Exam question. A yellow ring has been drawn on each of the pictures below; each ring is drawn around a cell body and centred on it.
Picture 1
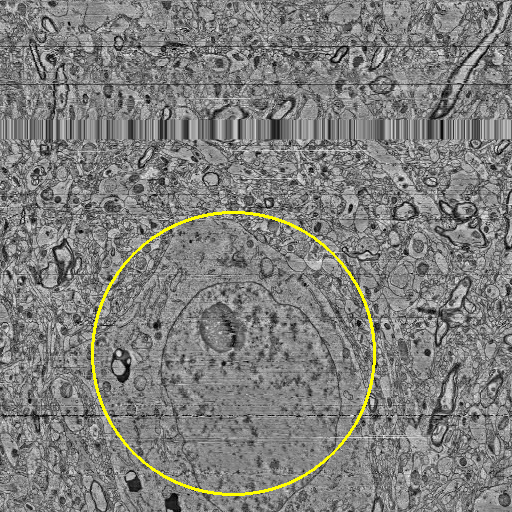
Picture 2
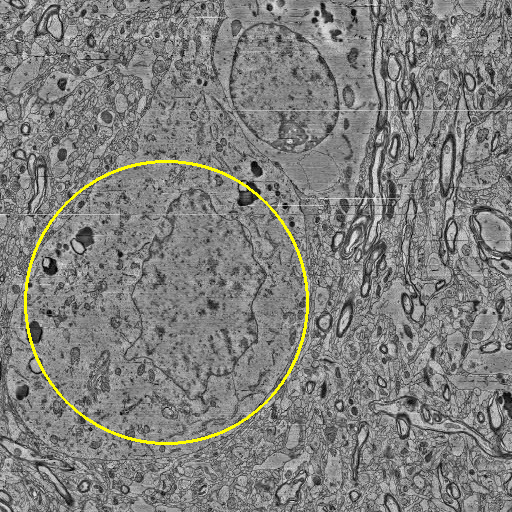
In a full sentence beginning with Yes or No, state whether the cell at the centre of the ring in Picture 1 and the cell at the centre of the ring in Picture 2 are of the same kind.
Yes, the two cells are of the same kind.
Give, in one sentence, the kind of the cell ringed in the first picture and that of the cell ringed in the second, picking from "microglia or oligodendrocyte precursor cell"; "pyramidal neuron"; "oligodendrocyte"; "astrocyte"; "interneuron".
Each of the two rings surrounds a pyramidal neuron.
